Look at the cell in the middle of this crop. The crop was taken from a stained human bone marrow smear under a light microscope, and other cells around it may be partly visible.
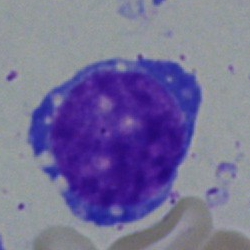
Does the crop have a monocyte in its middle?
no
